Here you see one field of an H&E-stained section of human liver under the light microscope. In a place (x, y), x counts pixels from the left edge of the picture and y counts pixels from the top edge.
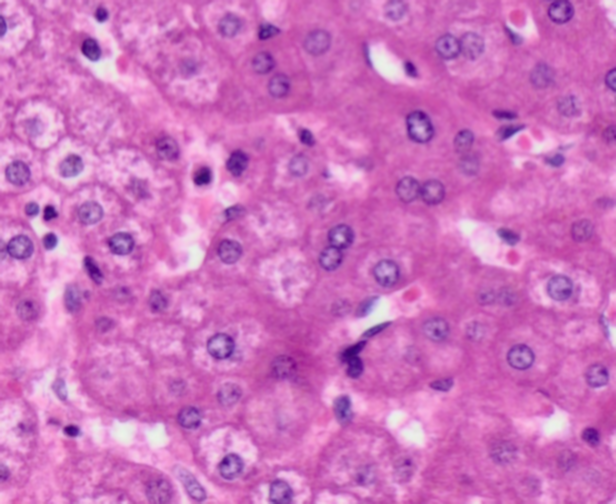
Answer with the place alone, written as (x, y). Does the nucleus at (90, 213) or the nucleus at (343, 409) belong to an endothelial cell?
(343, 409)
